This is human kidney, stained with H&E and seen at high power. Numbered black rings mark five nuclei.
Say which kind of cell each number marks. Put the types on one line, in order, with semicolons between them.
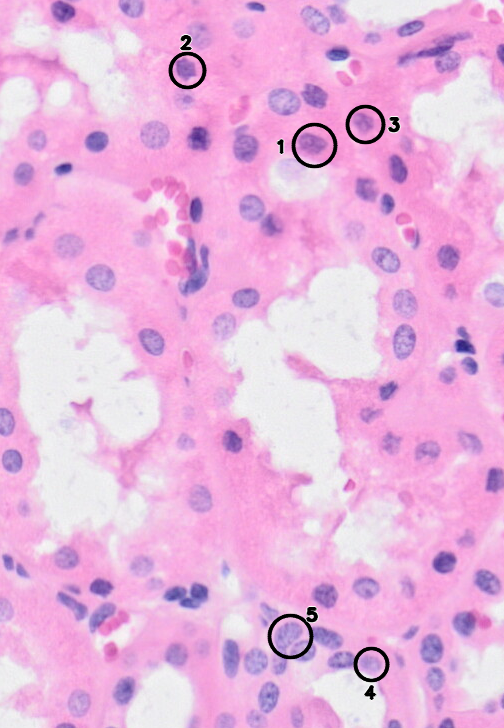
proximal tubule cell; proximal tubule cell; proximal tubule cell; collecting duct cell; collecting duct cell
